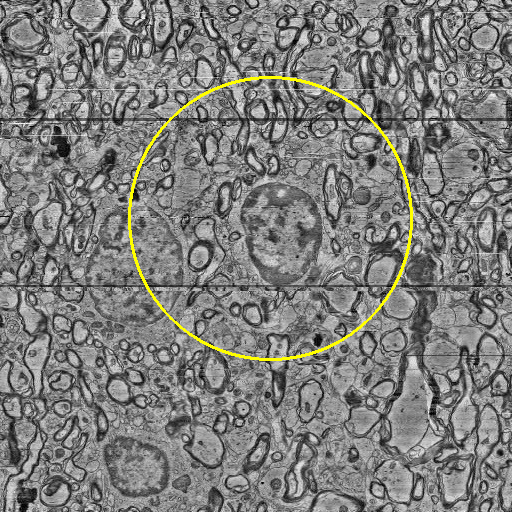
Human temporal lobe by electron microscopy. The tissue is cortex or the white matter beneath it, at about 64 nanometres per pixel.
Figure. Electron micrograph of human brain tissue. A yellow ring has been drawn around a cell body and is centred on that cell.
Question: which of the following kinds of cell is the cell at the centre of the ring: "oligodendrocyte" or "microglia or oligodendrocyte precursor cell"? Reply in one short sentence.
The cell at the centre of the ring is a microglial cell or oligodendrocyte precursor cell.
